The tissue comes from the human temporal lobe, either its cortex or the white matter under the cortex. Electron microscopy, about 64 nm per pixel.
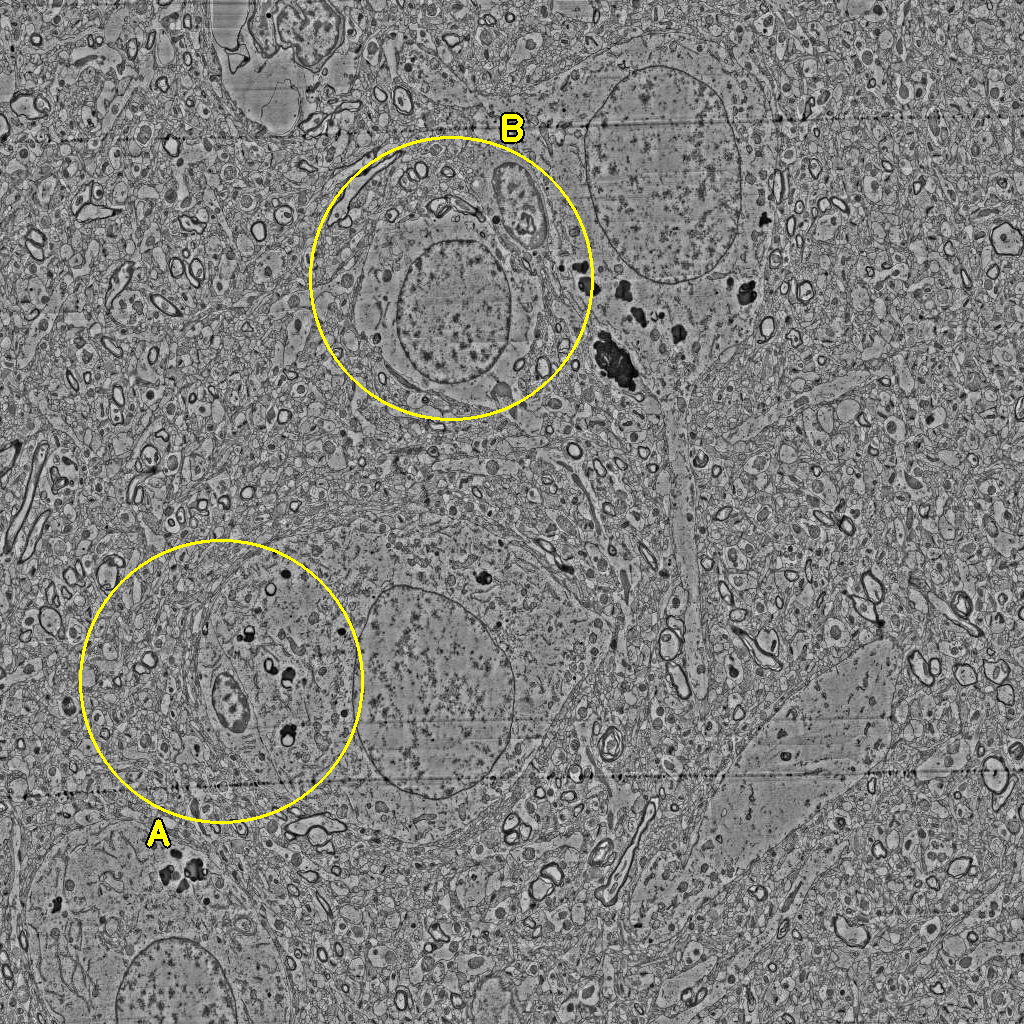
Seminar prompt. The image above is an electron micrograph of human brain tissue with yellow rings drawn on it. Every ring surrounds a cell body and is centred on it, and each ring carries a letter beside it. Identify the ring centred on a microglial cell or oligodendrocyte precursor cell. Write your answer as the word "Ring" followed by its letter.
Ring A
